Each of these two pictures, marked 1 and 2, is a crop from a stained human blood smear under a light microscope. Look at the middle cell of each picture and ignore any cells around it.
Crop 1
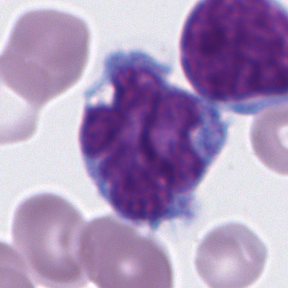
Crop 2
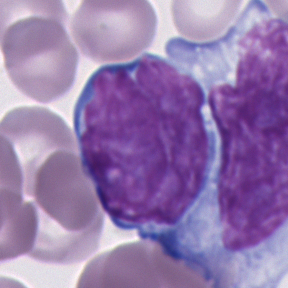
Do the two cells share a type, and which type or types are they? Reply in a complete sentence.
Yes, the two crops show myeloblasts, both of them.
